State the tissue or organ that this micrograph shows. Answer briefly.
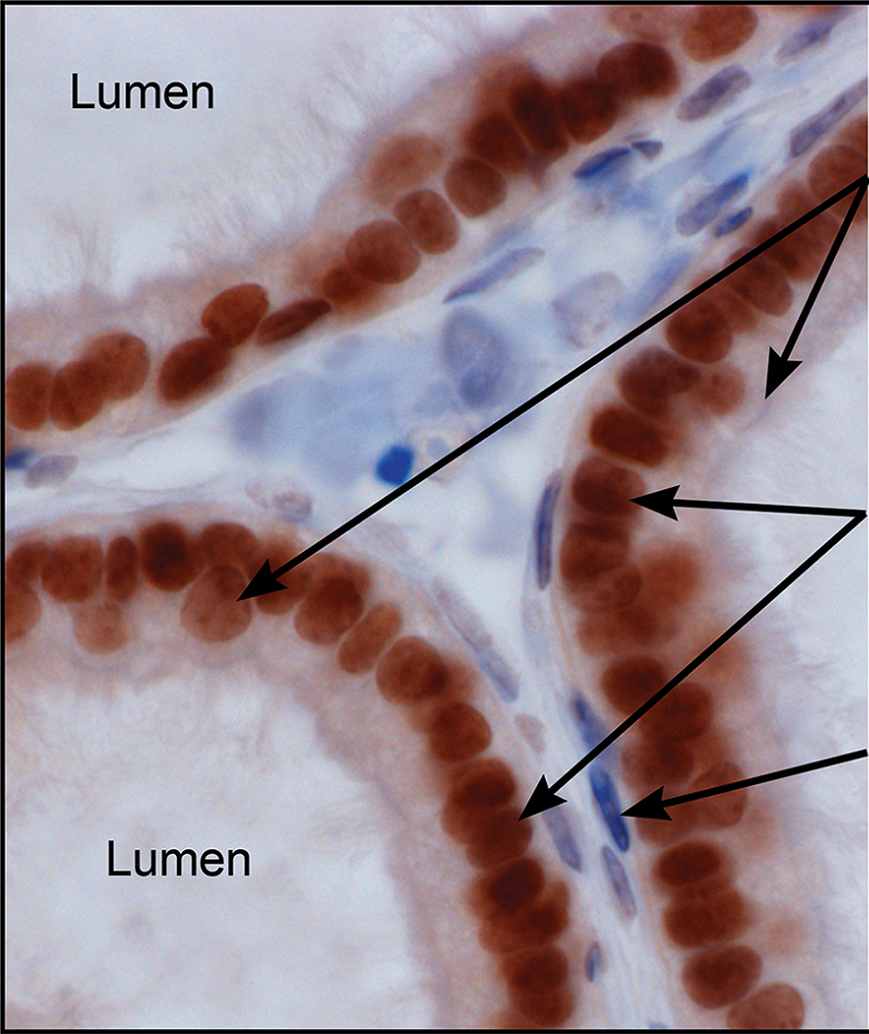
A: Efferent ductules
